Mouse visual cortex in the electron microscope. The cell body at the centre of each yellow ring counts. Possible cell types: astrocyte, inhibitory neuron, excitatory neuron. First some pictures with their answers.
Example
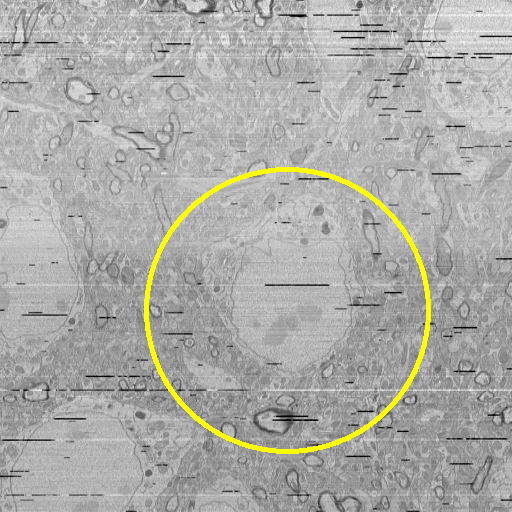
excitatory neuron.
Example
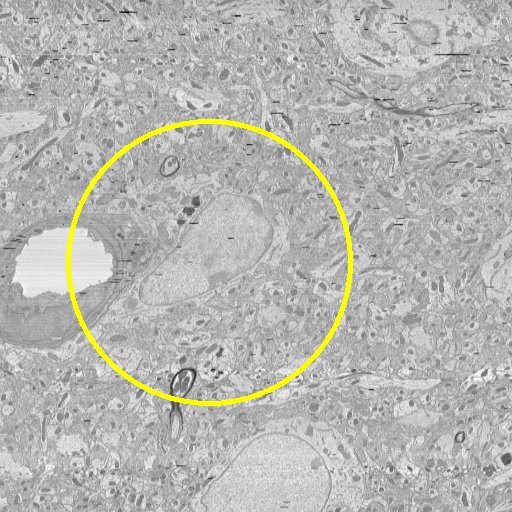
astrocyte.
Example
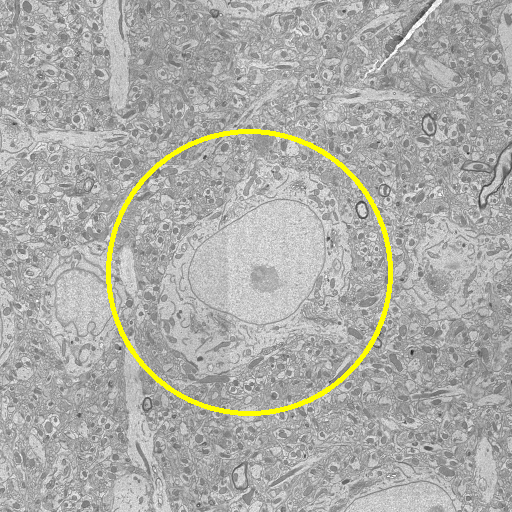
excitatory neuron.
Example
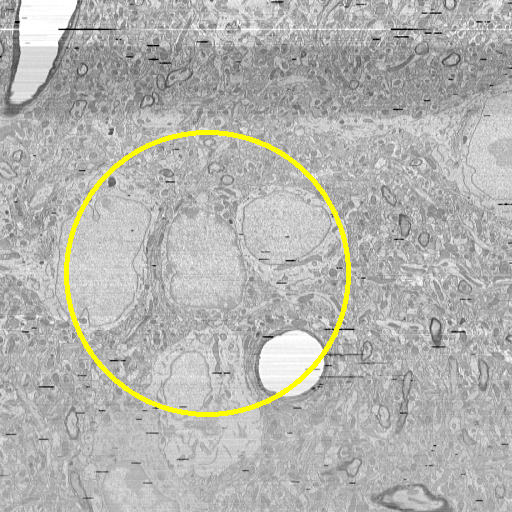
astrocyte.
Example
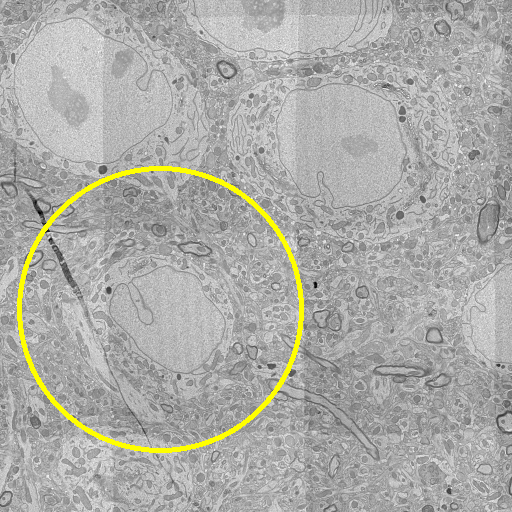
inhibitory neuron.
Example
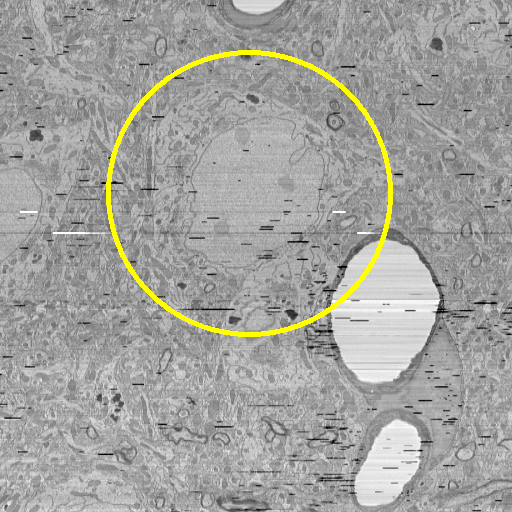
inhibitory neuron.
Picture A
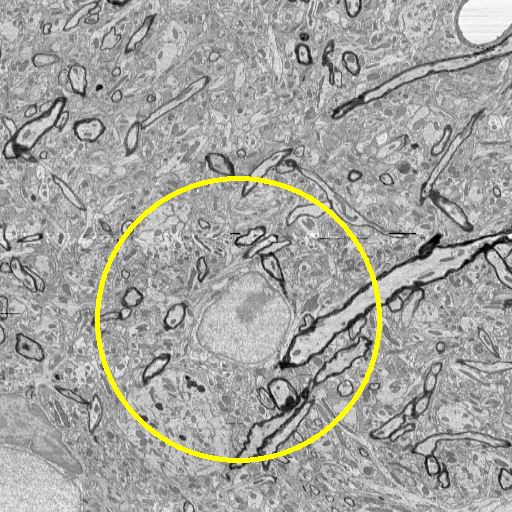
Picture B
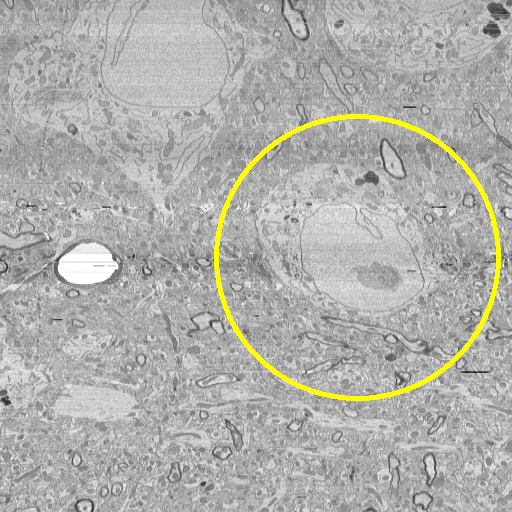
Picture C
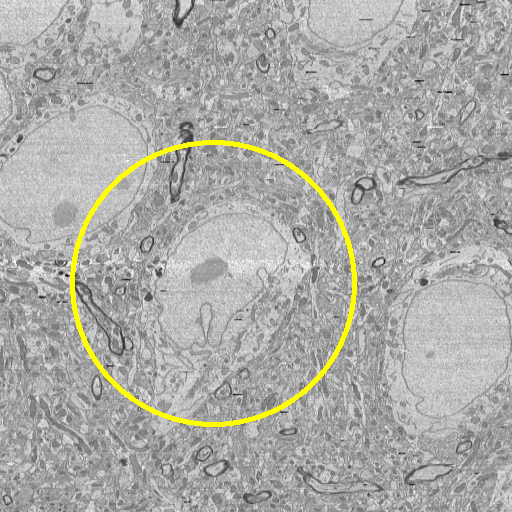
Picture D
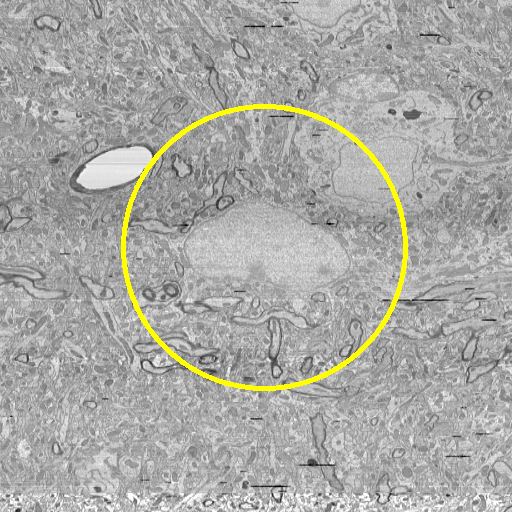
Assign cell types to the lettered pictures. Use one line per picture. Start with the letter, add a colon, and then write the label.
A: astrocyte.
B: excitatory neuron.
C: inhibitory neuron.
D: astrocyte.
